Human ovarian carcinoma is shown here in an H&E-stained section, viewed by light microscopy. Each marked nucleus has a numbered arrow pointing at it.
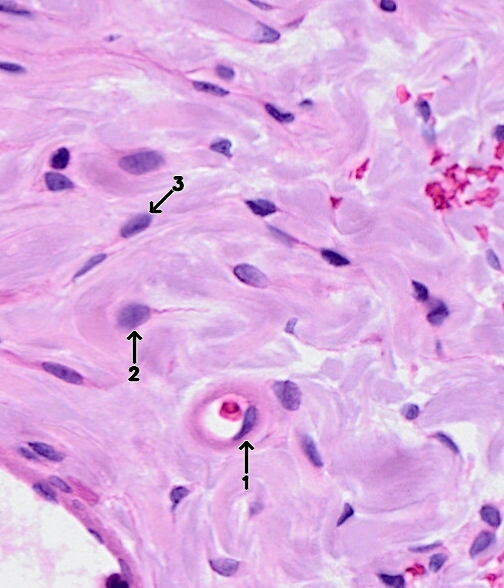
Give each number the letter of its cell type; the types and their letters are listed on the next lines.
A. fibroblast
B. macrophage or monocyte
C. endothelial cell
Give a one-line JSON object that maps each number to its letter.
{"1": "C", "2": "A", "3": "A"}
